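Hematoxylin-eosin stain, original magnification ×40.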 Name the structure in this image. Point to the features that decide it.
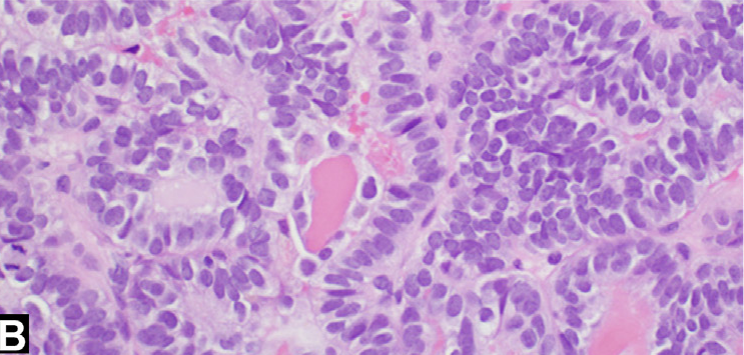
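Colloid material. Homogeneous glassy bright pink material fills small lumens. The pink material is ringed by crowded epithelial cells.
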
